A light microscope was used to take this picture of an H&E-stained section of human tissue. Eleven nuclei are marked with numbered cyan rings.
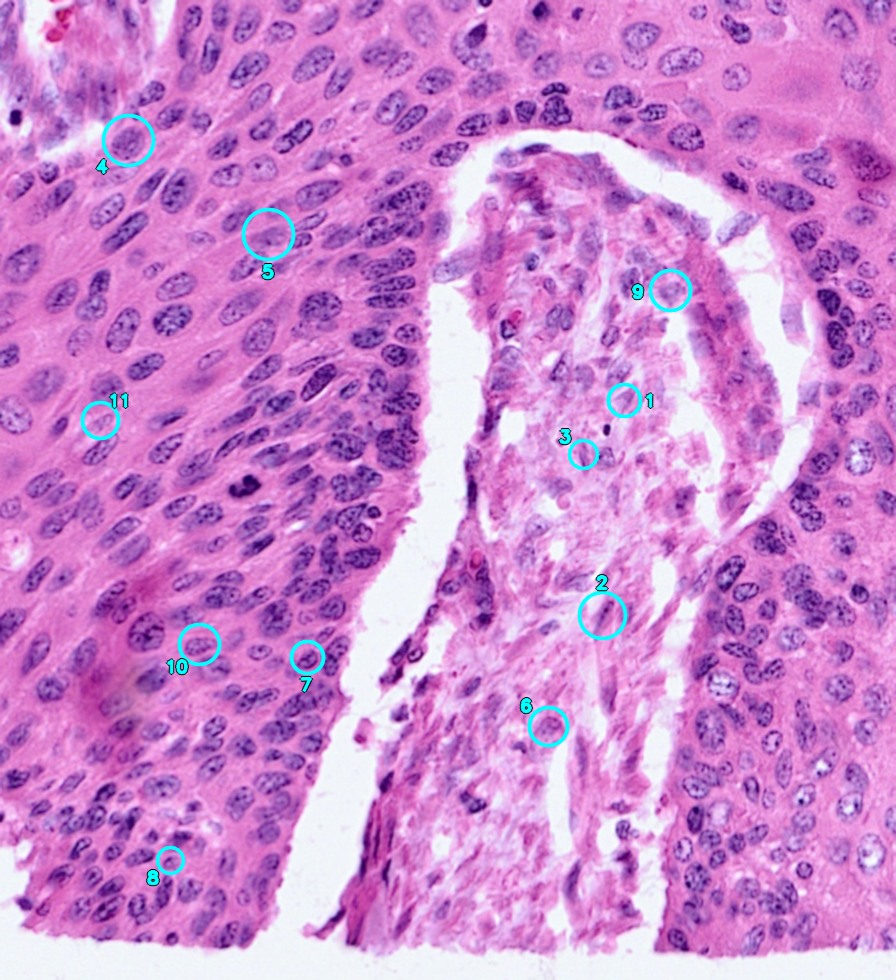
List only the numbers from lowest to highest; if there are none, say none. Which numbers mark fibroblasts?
1, 2, 3, 6, 9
